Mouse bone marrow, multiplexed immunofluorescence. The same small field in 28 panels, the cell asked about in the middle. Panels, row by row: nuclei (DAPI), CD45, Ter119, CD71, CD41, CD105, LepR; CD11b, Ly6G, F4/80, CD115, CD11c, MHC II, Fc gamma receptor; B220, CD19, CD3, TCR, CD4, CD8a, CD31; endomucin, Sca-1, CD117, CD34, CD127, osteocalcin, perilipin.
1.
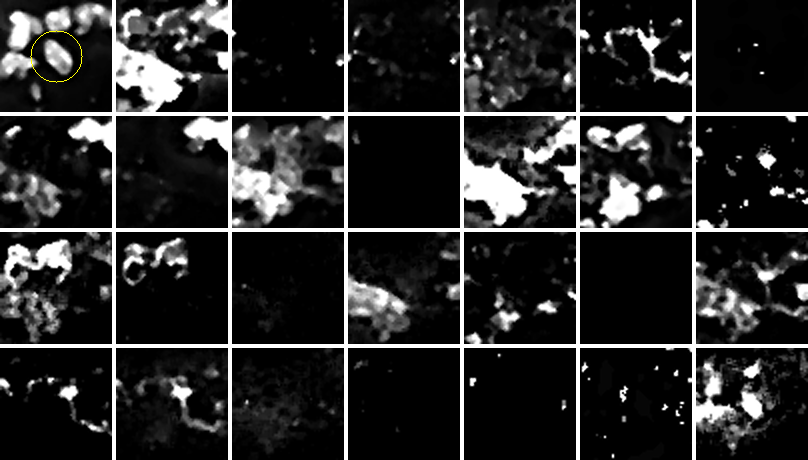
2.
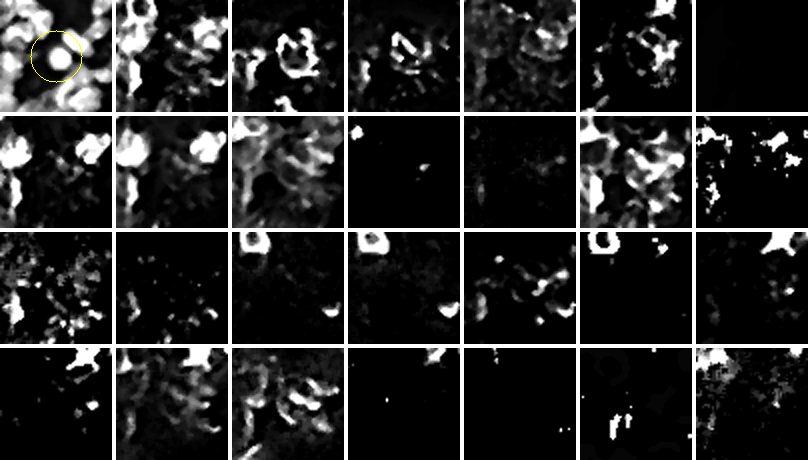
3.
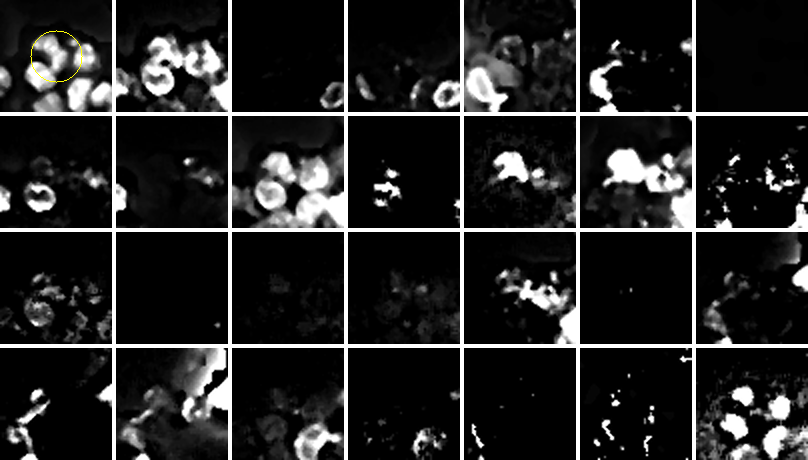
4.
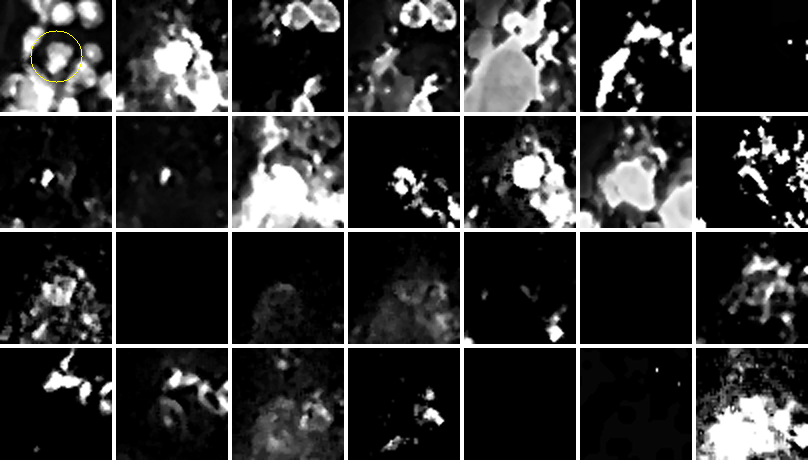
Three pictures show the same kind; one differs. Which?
Picture 2: an erythroblast, while the others are conventional dendritic cells.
